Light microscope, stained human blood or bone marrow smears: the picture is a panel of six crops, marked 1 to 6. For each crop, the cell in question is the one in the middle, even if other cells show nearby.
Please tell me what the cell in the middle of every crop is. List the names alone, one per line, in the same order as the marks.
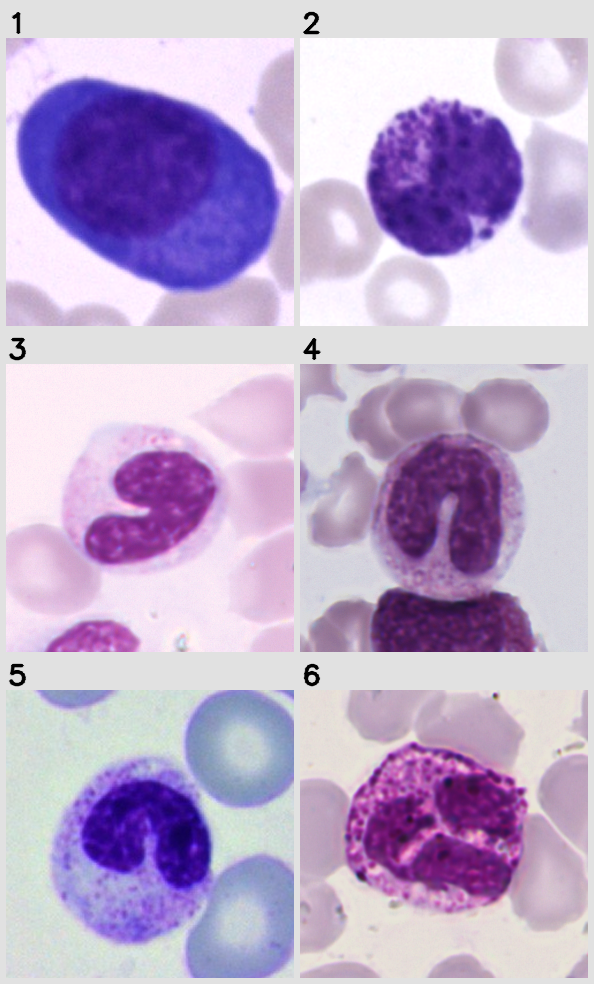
plasma cell
basophil
band neutrophil
band neutrophil
band neutrophil
basophil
